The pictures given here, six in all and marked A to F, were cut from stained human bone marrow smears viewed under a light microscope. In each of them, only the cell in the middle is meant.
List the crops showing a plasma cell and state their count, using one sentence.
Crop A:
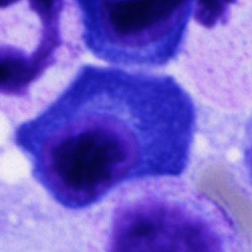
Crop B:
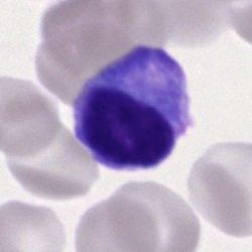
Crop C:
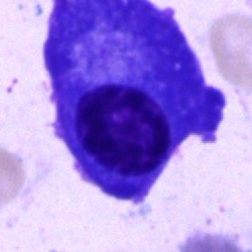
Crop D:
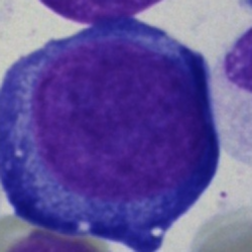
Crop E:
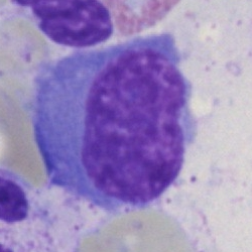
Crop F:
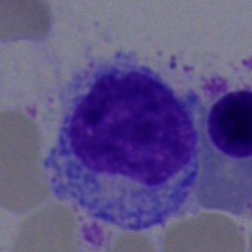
Crops A, B, C and E, which number four, show plasma cells.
